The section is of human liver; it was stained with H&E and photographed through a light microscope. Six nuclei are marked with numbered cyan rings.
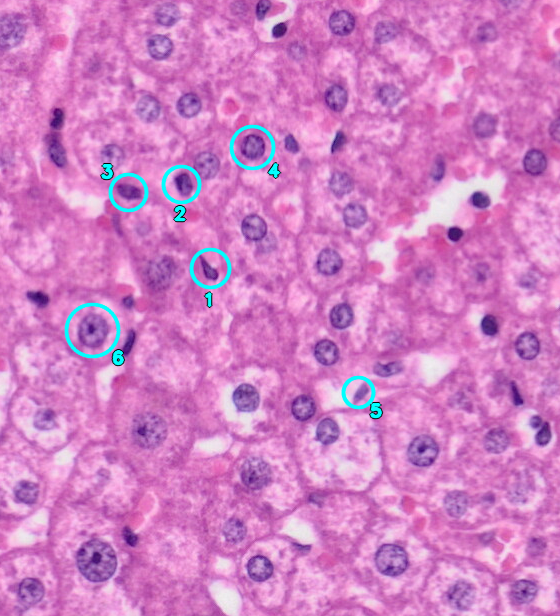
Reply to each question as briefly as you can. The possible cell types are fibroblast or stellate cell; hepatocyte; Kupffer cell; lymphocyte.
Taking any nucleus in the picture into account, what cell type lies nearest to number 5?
Kupffer cell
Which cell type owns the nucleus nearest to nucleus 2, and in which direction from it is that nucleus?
a hepatocyte above and to the right of nucleus 2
